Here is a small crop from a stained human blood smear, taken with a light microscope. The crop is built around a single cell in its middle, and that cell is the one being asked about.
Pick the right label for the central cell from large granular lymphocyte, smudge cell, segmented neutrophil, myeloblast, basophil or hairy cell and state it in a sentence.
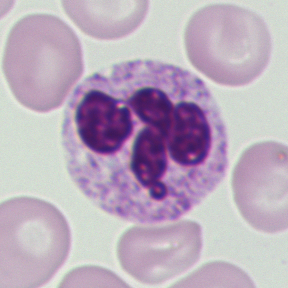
Classified as a segmented neutrophil is the cell in the middle of this crop.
